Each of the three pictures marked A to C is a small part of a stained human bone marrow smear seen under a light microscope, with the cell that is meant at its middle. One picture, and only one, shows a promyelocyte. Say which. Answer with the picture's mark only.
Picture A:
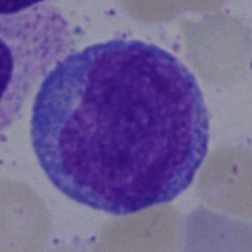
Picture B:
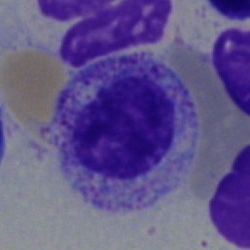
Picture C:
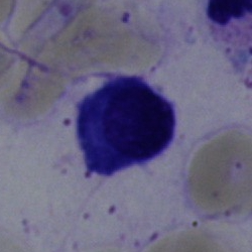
A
